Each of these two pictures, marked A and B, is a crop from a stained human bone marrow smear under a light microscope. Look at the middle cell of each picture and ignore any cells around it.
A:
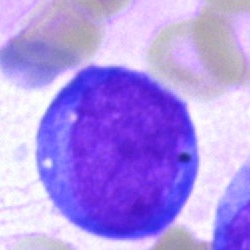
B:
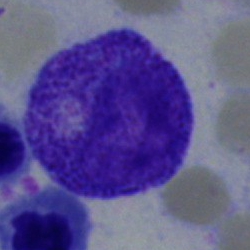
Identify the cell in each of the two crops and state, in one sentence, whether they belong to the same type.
No, what crop A shows is a blast, and what crop B shows is a promyelocyte.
